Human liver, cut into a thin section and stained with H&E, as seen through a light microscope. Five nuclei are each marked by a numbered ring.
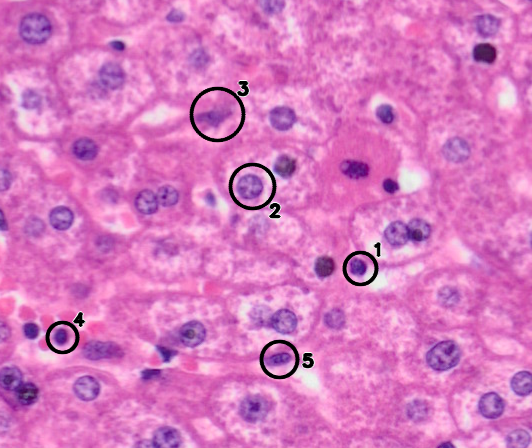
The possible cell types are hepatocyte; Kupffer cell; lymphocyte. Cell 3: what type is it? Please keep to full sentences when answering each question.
The cell pointed out by number 3 is a Kupffer cell.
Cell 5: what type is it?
The nucleus with number 5 is that of a Kupffer cell.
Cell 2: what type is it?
The numeral 2 marks a hepatocyte in this section.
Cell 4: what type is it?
The cell marked with the number 4 is a lymphocyte.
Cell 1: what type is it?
Of the numbered cells, the one labelled 1 is a lymphocyte.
